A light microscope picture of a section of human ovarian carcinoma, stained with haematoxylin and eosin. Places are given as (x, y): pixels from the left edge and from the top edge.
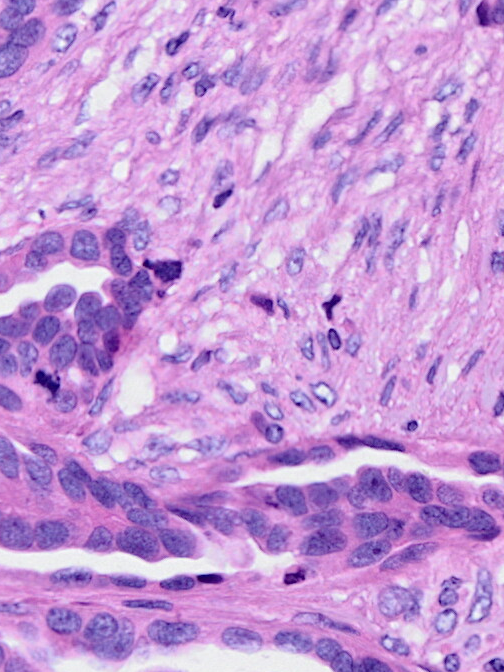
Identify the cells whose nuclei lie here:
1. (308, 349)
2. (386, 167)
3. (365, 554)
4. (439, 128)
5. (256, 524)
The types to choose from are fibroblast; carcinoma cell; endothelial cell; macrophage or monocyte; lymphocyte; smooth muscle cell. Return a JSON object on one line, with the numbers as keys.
{"1": "fibroblast", "2": "fibroblast", "3": "carcinoma cell", "4": "fibroblast", "5": "carcinoma cell"}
